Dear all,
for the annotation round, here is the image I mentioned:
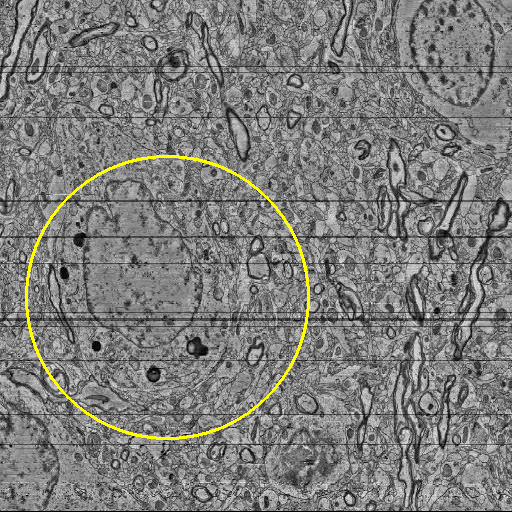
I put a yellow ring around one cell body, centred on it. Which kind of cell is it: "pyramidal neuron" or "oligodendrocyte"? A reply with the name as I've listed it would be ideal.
pyramidal neuron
